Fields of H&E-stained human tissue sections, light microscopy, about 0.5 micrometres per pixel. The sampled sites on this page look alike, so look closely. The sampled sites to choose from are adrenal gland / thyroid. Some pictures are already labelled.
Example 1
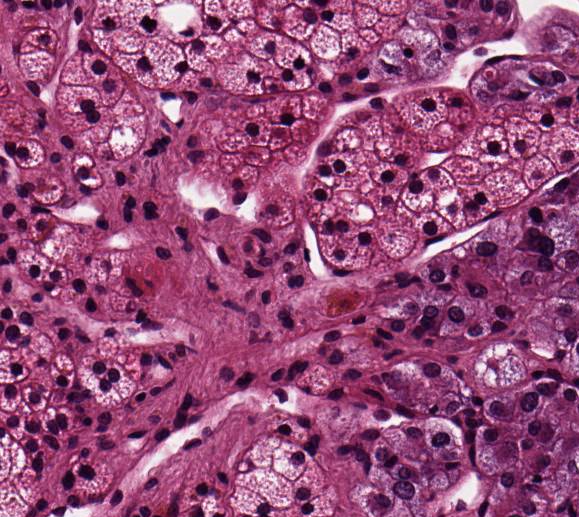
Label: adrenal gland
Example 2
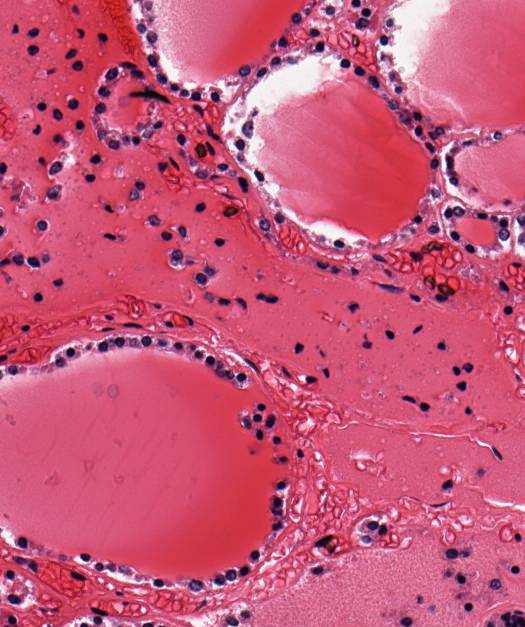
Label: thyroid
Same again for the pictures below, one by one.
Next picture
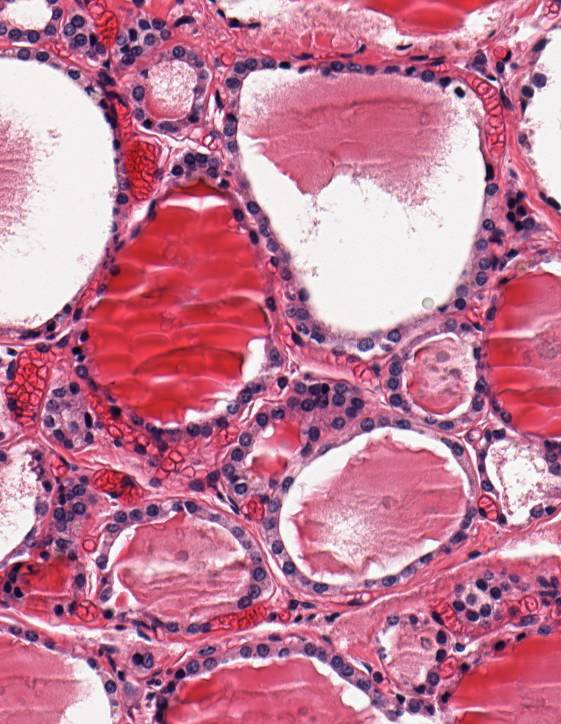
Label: thyroid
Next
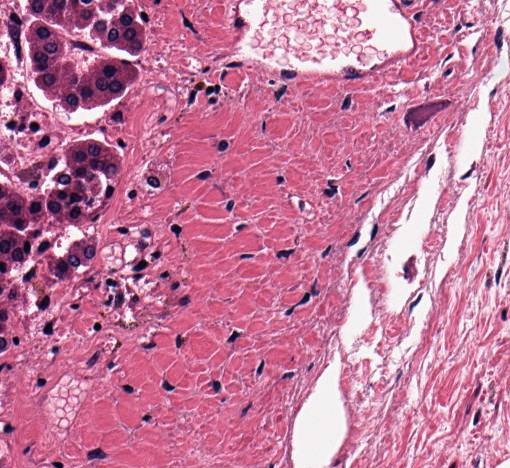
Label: adrenal gland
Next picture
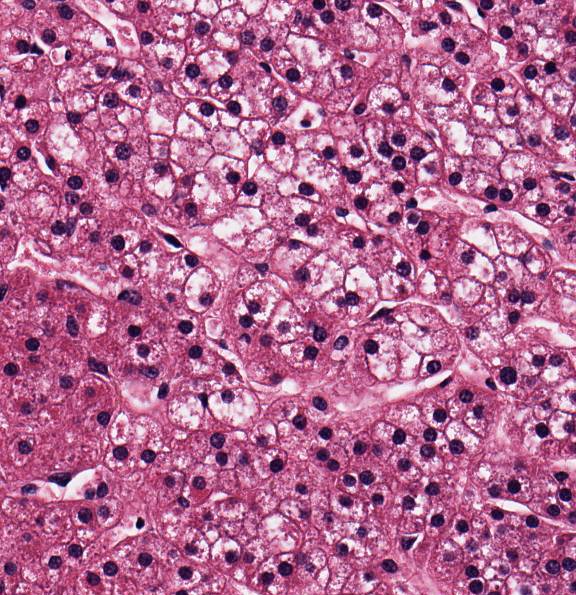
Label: adrenal gland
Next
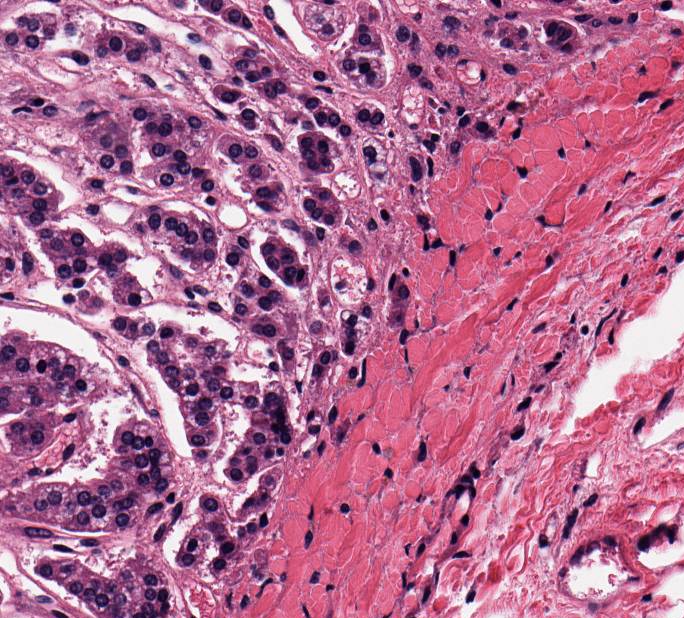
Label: adrenal gland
